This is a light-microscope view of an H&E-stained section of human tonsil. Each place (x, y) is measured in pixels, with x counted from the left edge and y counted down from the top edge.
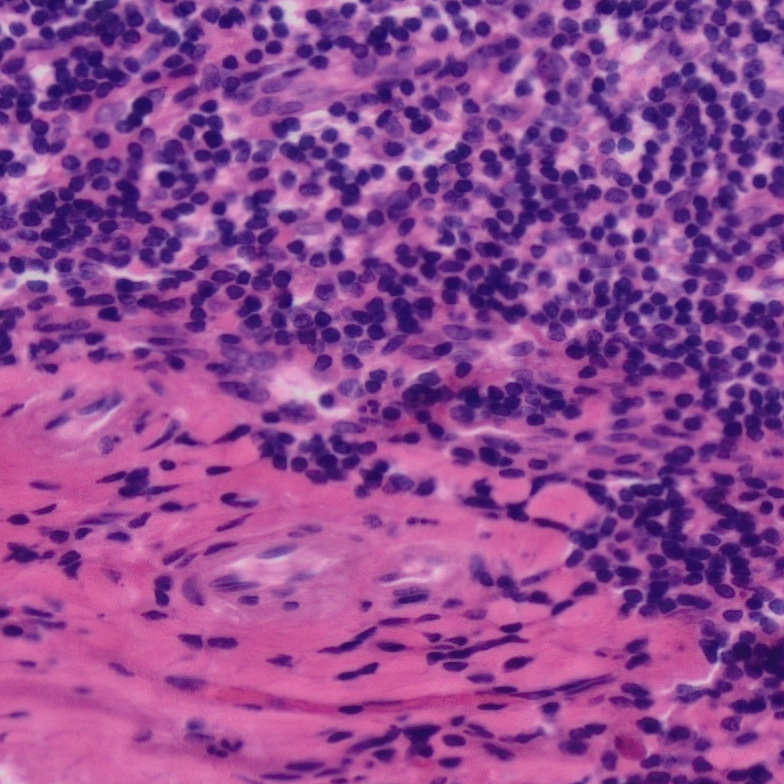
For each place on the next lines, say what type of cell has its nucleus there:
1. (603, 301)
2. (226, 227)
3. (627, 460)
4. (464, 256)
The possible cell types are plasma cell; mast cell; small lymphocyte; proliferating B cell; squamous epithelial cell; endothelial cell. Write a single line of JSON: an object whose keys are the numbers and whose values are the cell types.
{"1": "small lymphocyte", "2": "small lymphocyte", "3": "endothelial cell", "4": "small lymphocyte"}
